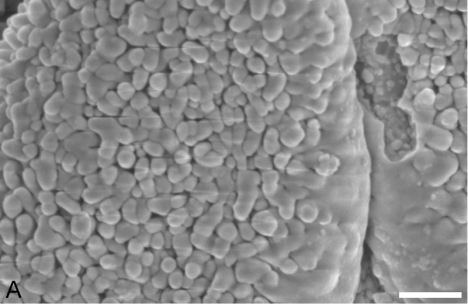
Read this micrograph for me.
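This close-up of a pollen grain surface shows a wall covered by crowded, rounded to irregular granule-like sculptural elements. The elements are short and blunt and vary somewhat in size. They are packed tightly, leaving only narrow gaps between them. At one side a smoother, depressed strip interrupts the granular surface.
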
